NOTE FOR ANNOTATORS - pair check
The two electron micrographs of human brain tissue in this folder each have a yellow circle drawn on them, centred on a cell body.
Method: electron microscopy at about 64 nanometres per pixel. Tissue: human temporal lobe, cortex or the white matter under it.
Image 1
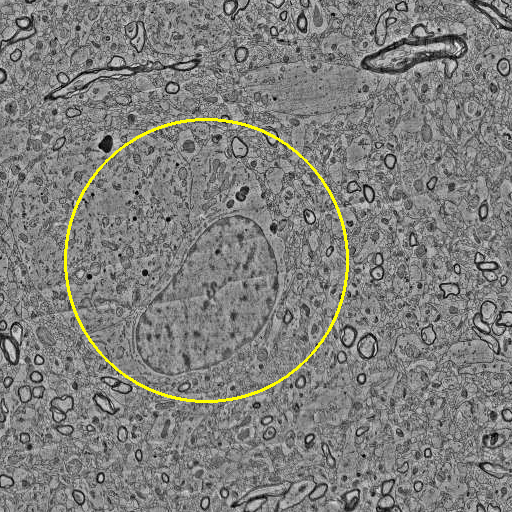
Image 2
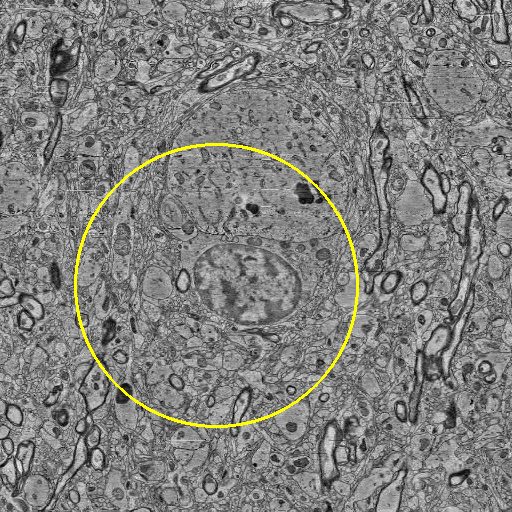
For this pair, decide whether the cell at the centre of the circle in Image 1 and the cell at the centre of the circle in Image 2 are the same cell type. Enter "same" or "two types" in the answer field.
two types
